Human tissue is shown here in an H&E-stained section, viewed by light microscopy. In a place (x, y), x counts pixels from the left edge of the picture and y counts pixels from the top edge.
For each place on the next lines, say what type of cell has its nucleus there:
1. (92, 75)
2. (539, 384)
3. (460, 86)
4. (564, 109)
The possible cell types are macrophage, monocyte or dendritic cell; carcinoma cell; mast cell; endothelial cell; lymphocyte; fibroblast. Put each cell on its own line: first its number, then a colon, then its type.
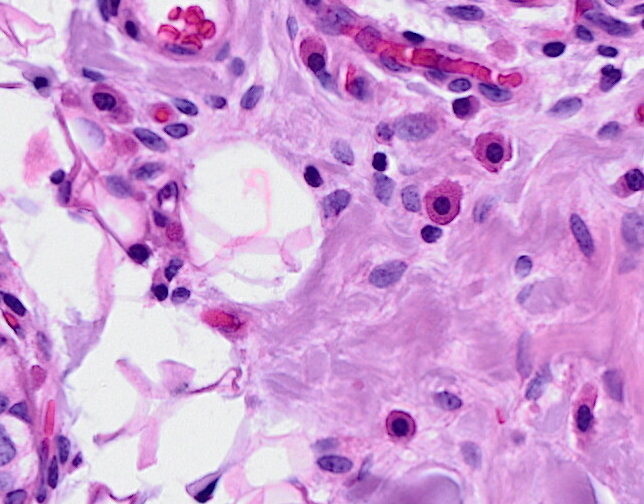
1: fibroblast
2: fibroblast
3: endothelial cell
4: fibroblast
